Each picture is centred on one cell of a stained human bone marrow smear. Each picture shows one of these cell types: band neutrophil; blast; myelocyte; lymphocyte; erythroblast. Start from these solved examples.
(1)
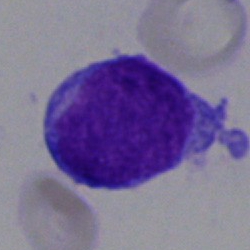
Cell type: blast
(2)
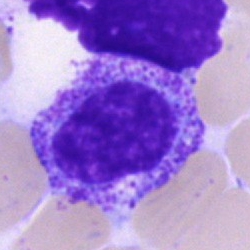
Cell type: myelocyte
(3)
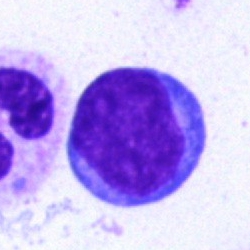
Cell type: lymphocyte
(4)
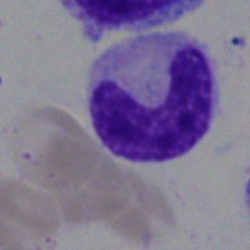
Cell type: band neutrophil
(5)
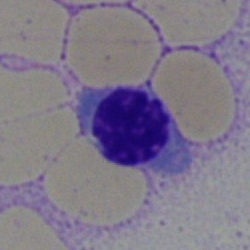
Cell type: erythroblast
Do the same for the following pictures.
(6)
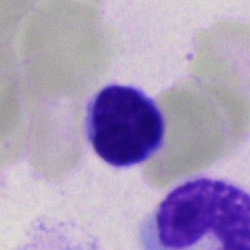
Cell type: lymphocyte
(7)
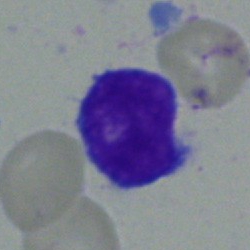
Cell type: blast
